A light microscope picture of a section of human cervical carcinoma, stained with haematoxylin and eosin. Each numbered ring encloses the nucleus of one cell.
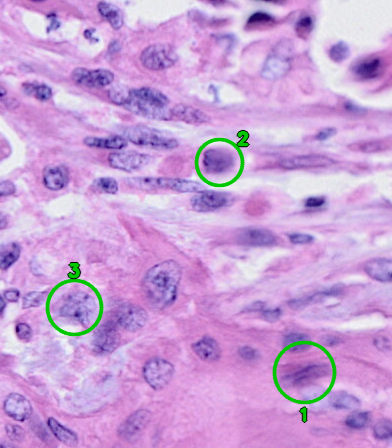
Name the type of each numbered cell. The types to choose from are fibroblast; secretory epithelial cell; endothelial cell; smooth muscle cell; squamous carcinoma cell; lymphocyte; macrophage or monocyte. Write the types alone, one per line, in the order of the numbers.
squamous carcinoma cell
macrophage or monocyte
fibroblast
